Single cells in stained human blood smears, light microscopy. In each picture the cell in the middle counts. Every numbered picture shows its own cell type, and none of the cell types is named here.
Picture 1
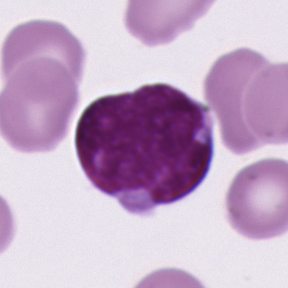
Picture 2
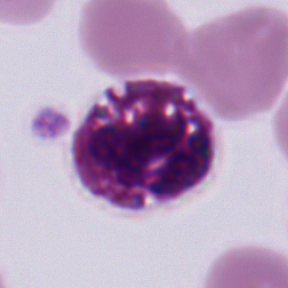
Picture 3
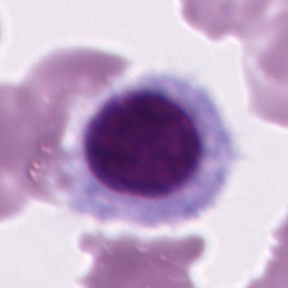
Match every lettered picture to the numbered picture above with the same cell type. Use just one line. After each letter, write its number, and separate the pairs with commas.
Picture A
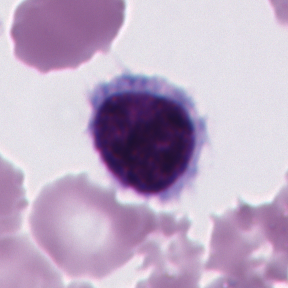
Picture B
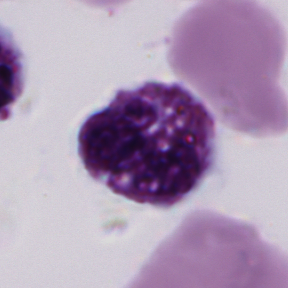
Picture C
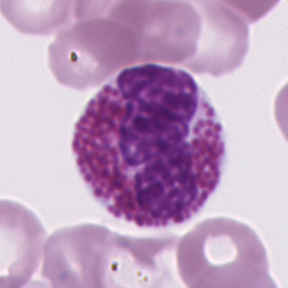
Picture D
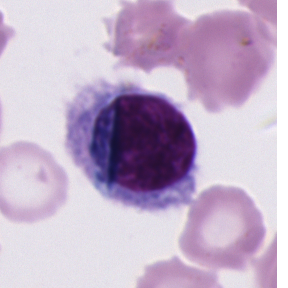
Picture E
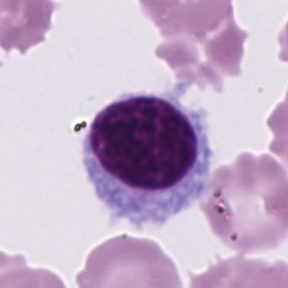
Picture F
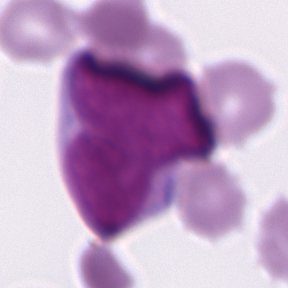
A 3, B 2, C 2, D 3, E 3, F 1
